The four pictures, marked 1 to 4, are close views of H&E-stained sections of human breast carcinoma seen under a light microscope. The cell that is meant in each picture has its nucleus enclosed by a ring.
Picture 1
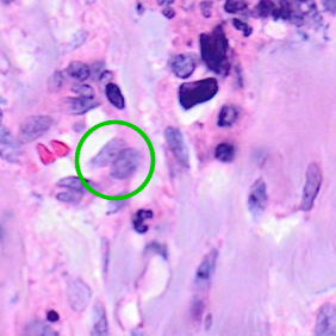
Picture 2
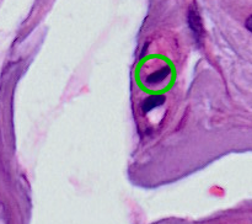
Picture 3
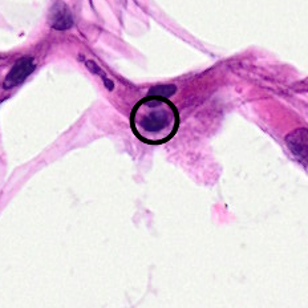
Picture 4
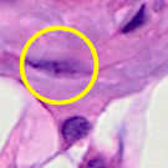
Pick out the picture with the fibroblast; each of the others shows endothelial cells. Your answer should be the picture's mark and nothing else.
4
